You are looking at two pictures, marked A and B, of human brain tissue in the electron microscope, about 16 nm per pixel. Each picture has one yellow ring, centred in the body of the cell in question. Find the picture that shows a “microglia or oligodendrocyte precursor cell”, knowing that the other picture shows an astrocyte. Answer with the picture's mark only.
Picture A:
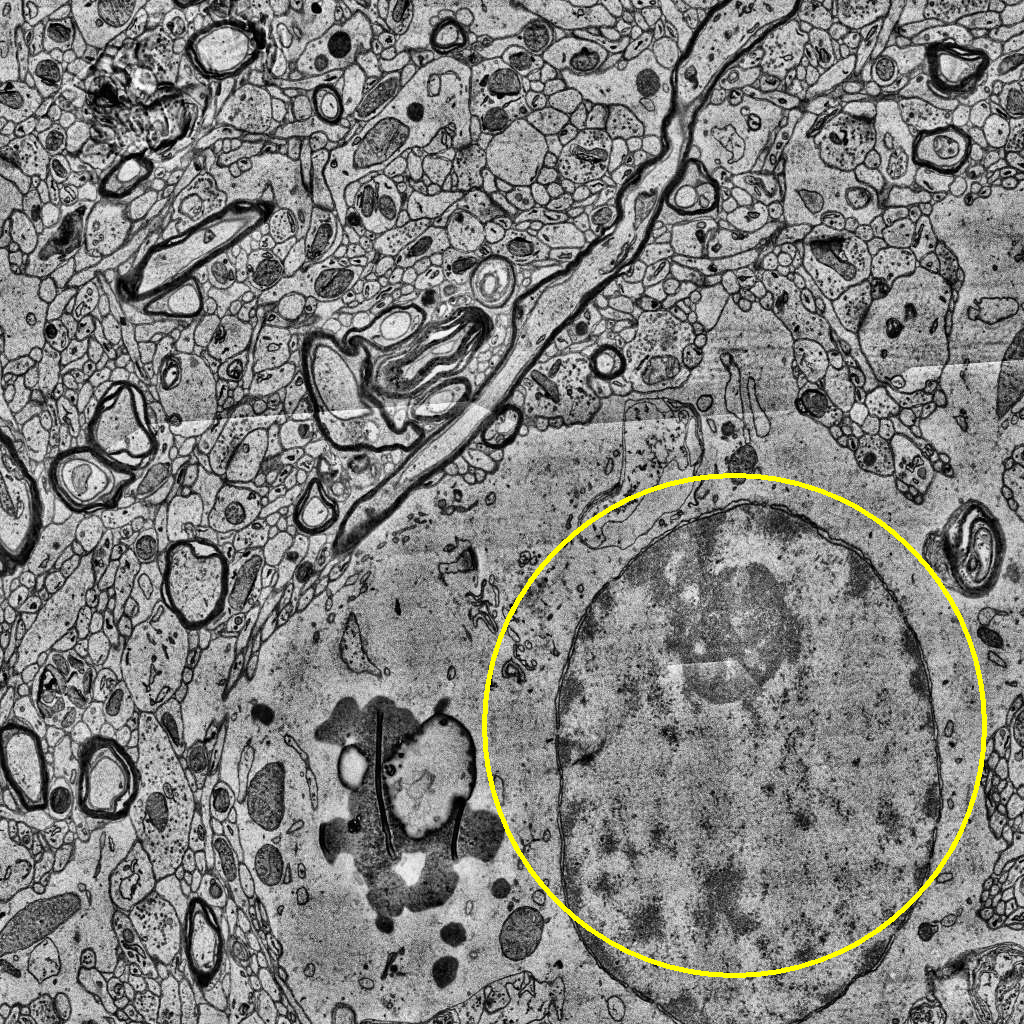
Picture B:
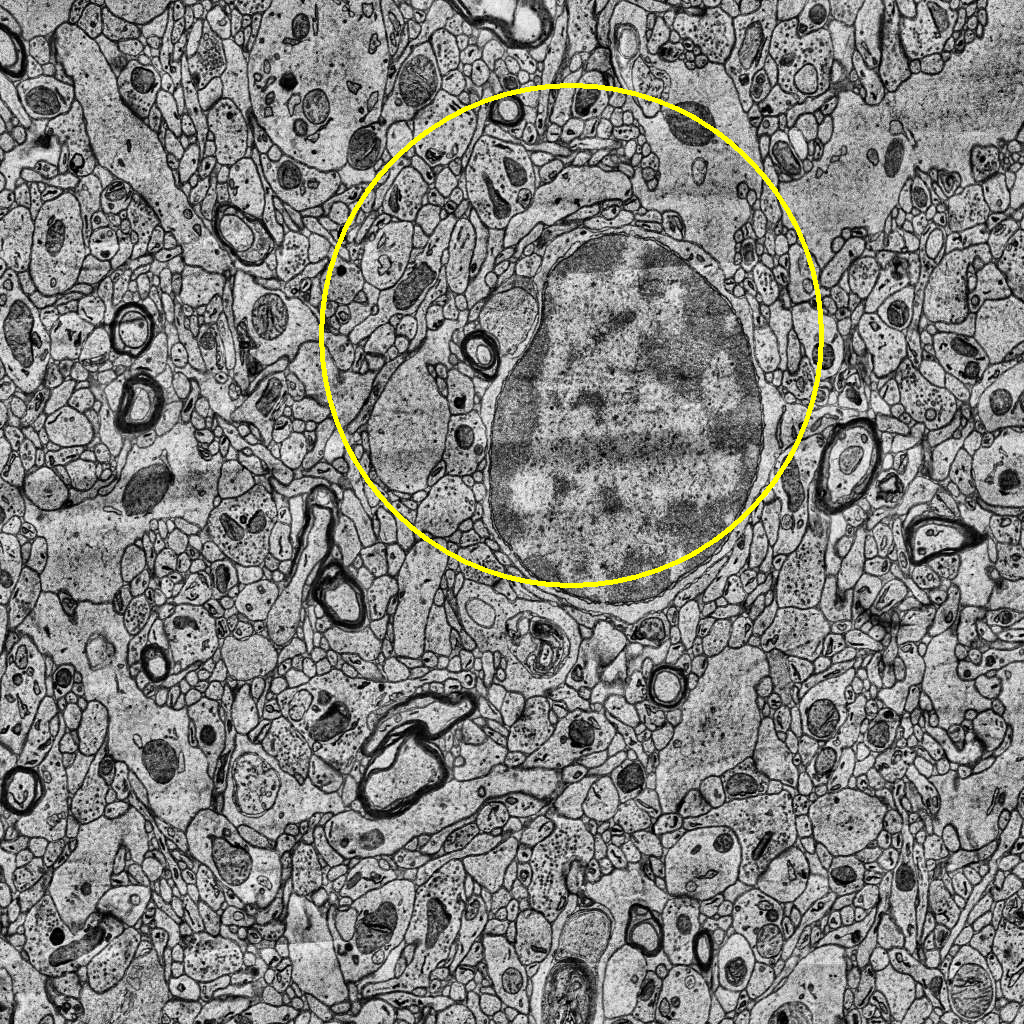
B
